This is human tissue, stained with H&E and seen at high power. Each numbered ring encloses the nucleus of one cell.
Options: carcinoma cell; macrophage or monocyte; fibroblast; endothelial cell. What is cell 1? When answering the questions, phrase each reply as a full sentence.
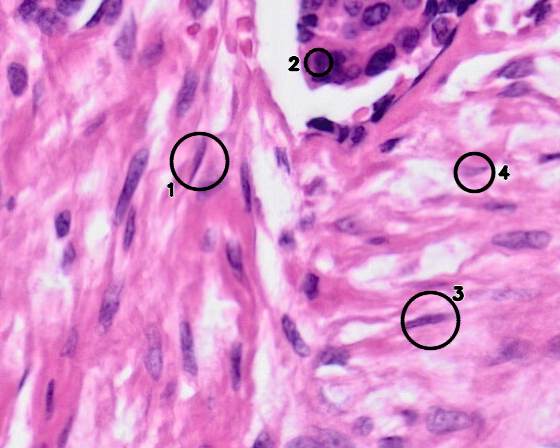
Cell 1, among those numbered, is a fibroblast.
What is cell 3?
The cell marked with the number 3 is a fibroblast.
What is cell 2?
The nucleus labeled 2 belongs to a carcinoma cell.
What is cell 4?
Heads up, the cell numbered 4 is a fibroblast.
